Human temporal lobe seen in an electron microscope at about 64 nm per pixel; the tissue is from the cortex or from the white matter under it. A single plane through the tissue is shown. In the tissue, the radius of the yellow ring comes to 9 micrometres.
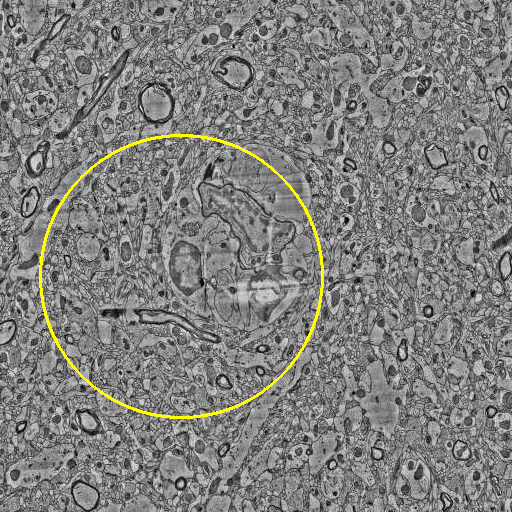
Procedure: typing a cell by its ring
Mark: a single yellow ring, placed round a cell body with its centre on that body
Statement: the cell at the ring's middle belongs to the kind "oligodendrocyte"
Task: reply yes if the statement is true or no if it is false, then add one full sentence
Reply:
No, this is false: the cell at the ring's centre in the picture belongs to some other kind.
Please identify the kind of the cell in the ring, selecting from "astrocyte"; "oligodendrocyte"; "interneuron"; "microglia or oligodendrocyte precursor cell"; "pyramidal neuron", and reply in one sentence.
Instead, the cell at the centre of the yellow ring is a microglial cell or oligodendrocyte precursor cell.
